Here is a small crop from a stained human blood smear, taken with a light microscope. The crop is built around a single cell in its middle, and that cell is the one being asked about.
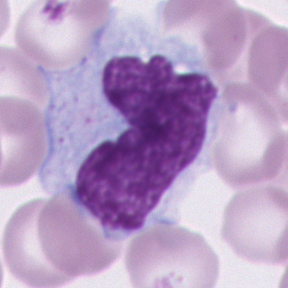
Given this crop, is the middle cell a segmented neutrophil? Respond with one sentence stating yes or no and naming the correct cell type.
No, in the middle of the crop there is a monocyte rather than a segmented neutrophil.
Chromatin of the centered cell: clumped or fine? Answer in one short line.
The chromatin pattern is fine and free of coarse clumps.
